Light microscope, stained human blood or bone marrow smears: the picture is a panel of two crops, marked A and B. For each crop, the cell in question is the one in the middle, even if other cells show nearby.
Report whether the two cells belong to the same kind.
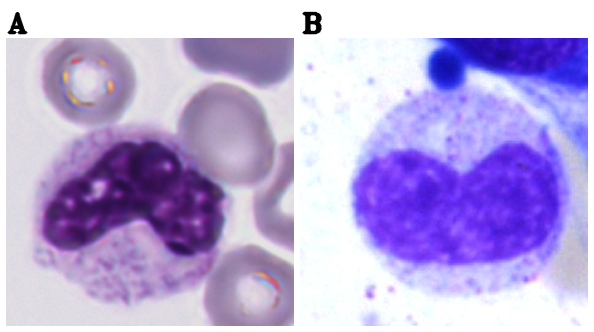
yes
